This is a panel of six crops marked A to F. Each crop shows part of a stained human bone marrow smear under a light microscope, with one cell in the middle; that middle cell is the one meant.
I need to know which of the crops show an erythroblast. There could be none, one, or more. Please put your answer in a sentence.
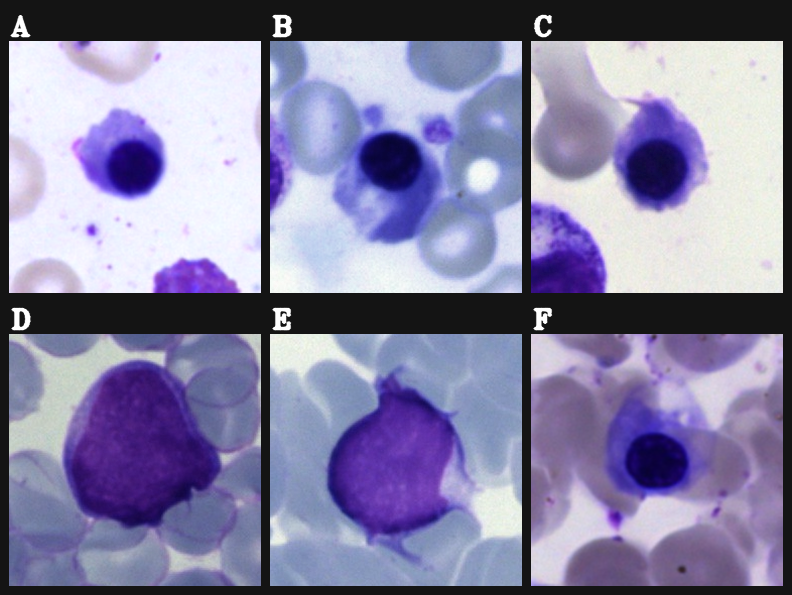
Crops A, B, C and F are the crops in which erythroblasts are shown.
